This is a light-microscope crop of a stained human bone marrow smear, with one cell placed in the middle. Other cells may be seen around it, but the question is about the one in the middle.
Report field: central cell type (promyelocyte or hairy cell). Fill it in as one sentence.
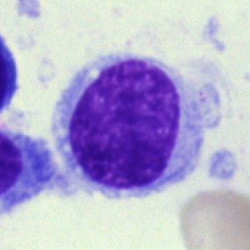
The center cell of this crop is a hairy cell.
